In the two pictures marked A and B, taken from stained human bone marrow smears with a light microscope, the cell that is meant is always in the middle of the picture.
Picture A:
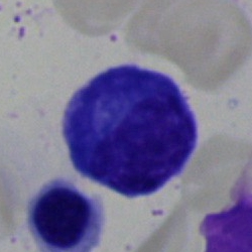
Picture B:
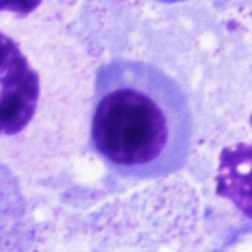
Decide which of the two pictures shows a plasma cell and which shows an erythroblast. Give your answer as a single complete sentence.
Picture B shows an erythroblast, while picture A shows a plasma cell.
